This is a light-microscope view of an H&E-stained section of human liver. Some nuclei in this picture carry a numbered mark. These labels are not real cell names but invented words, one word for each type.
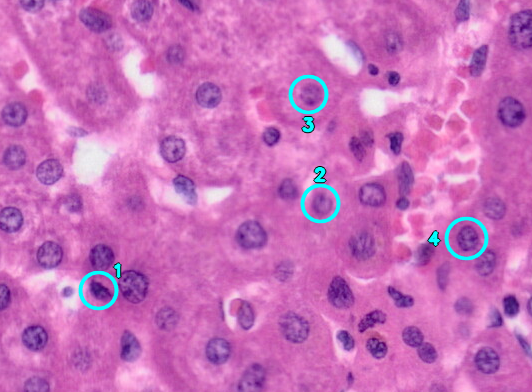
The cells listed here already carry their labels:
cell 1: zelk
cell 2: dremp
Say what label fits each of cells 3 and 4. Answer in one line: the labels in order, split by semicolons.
dremp; dremp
